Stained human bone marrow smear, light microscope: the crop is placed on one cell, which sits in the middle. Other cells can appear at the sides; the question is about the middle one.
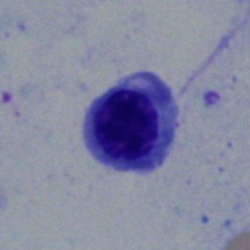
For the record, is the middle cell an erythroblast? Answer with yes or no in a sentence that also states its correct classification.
Yes, the cell of interest in the middle is an erythroblast.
